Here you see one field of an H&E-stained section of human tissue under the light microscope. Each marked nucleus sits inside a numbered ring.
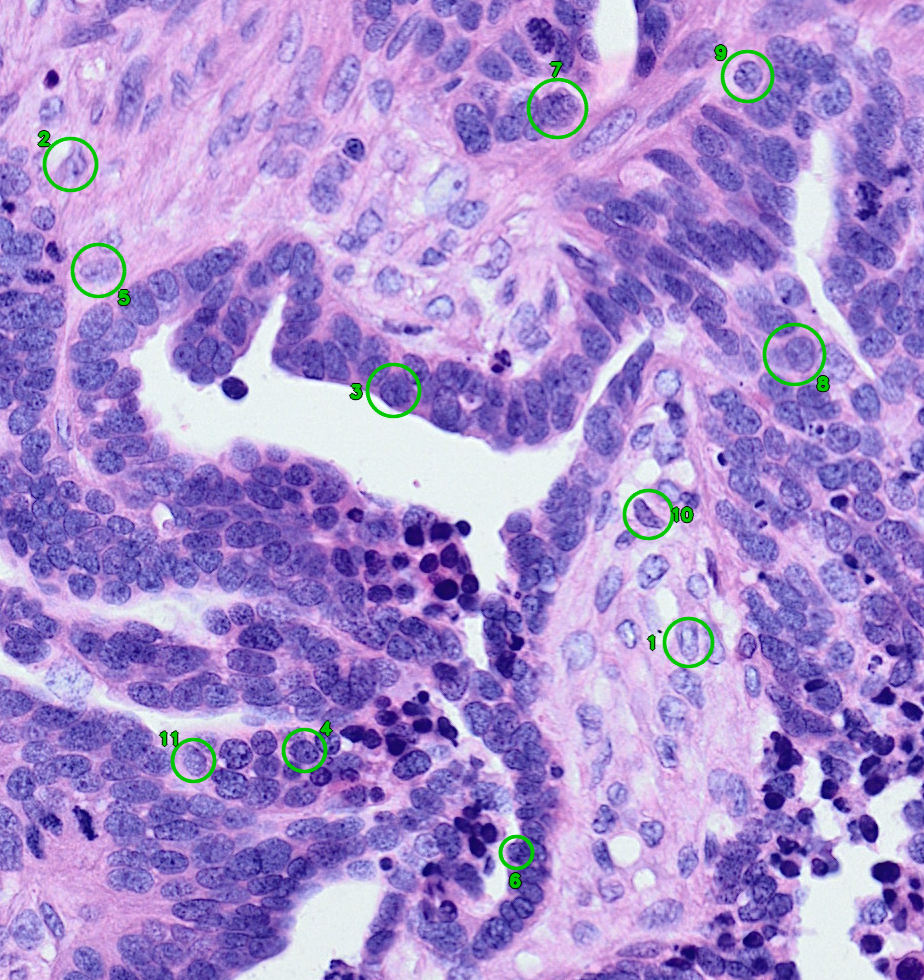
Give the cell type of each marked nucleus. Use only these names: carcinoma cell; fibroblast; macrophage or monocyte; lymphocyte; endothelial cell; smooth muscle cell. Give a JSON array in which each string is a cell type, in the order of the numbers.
["fibroblast", "fibroblast", "carcinoma cell", "carcinoma cell", "fibroblast", "carcinoma cell", "carcinoma cell", "carcinoma cell", "macrophage or monocyte", "macrophage or monocyte", "carcinoma cell"]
